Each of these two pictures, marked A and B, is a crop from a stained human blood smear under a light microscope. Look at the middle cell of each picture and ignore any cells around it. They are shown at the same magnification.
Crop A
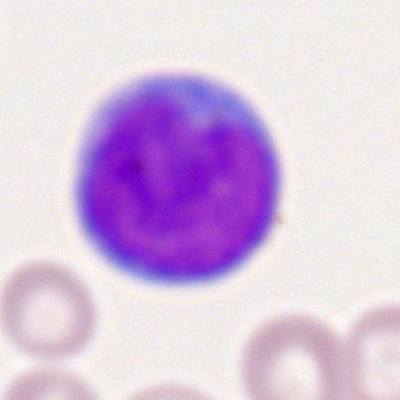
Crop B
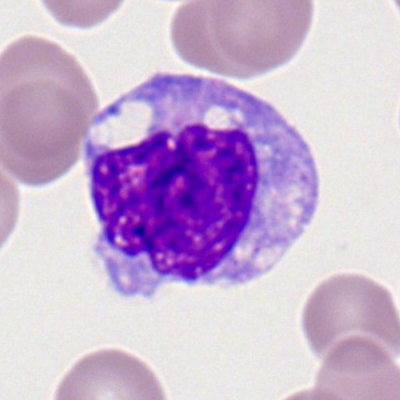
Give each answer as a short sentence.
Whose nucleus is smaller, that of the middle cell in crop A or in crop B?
The nucleus in crop B is smaller; the one in crop A has about 1.5 times its area.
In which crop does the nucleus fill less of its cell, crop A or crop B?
Of the two, the nucleus in crop B leaves more room for cytoplasm.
